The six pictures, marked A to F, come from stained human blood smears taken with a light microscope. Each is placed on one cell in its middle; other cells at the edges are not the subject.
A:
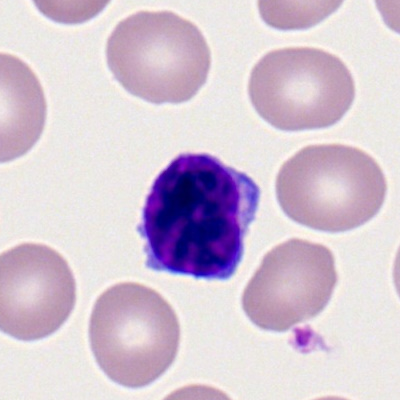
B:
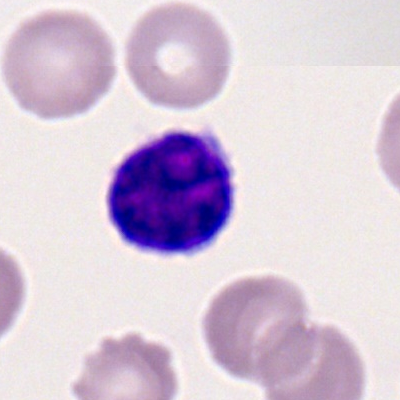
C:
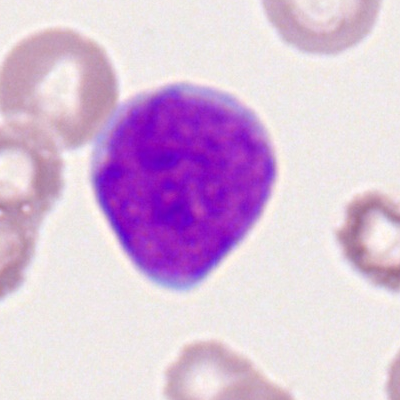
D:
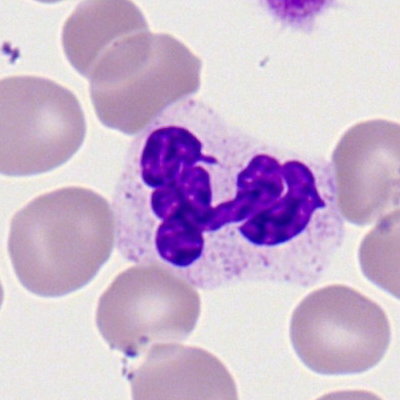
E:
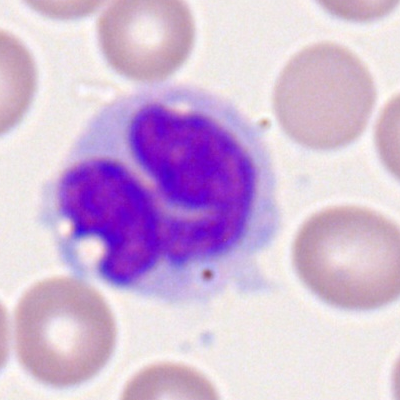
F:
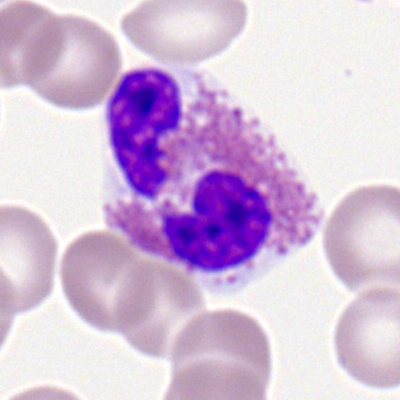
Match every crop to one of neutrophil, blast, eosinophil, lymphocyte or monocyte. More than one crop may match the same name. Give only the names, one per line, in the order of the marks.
lymphocyte
lymphocyte
blast
neutrophil
monocyte
eosinophil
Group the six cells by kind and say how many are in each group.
lymphocyte: 2
blast: 1
neutrophil: 1
monocyte: 1
eosinophil: 1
